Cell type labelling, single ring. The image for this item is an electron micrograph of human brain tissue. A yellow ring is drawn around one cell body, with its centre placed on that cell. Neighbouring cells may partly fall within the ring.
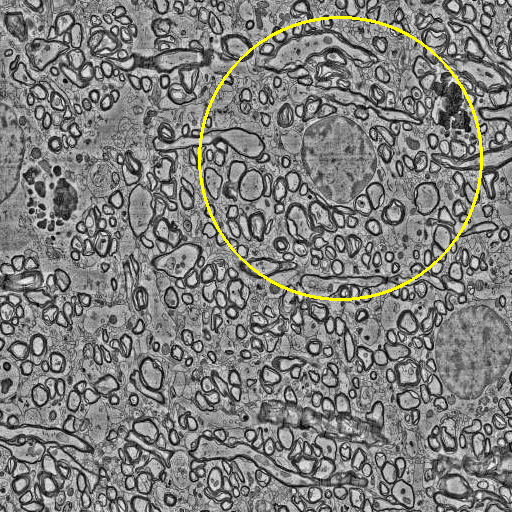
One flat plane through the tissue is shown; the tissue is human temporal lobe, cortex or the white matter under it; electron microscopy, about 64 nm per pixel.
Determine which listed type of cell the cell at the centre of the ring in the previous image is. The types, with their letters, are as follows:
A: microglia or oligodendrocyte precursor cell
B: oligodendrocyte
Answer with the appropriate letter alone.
A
